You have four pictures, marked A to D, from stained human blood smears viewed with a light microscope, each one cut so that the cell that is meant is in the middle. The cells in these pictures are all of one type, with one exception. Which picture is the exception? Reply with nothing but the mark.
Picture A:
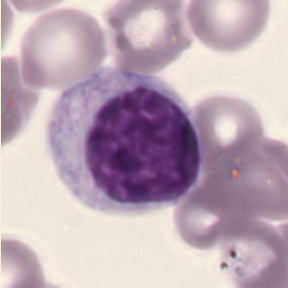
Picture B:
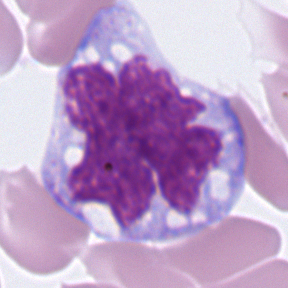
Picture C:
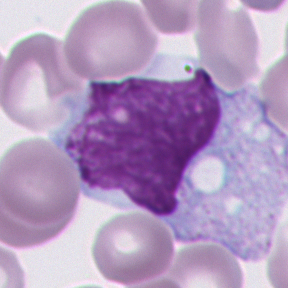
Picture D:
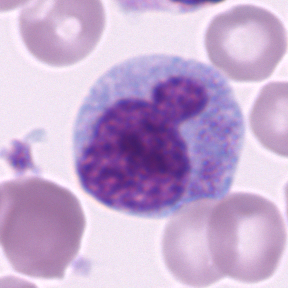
A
